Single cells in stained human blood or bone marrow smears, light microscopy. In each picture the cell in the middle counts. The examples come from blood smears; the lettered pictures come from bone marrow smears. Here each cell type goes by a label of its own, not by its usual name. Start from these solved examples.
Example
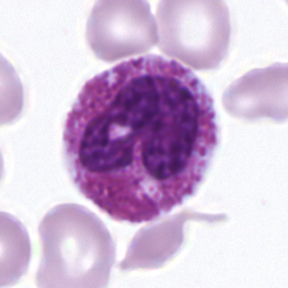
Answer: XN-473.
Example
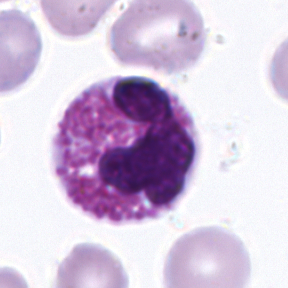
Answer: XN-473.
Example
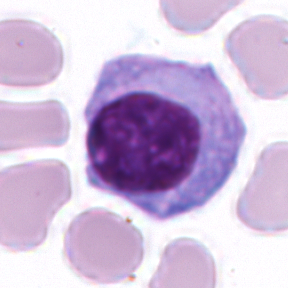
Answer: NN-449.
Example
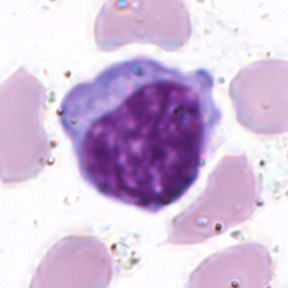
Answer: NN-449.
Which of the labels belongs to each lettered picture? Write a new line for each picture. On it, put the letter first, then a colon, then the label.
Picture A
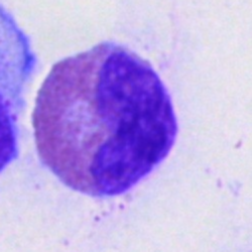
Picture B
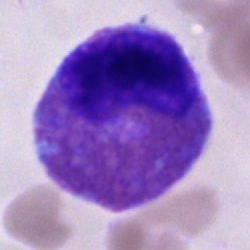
A: XN-473.
B: XN-473.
